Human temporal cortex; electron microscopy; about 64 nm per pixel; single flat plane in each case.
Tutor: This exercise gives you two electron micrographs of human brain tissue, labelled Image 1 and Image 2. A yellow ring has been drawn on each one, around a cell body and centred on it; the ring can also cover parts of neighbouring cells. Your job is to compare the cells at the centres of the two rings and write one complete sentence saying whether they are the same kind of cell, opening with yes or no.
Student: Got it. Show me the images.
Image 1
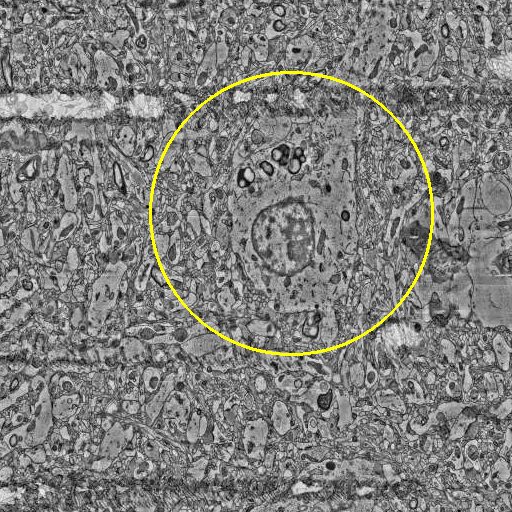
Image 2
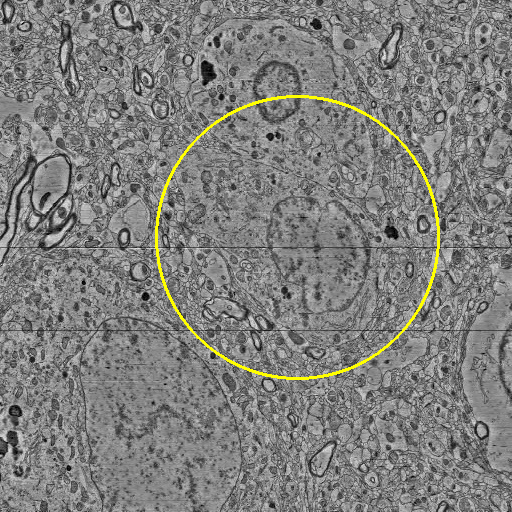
No, the two cells belong to two kinds.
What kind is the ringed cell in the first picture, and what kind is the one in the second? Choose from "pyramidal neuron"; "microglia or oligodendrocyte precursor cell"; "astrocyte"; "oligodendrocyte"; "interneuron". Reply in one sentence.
The first cell is a pyramidal neuron; the second is an interneuron.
